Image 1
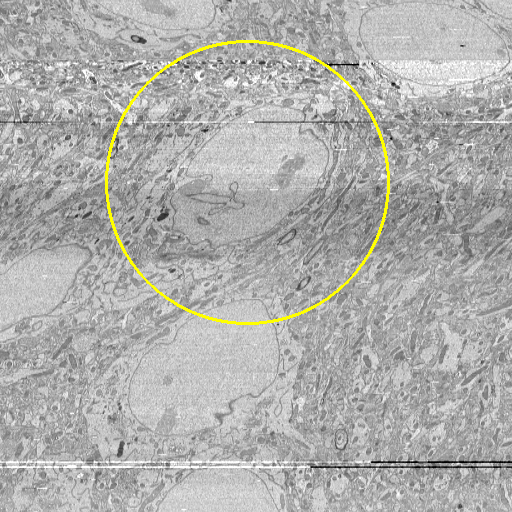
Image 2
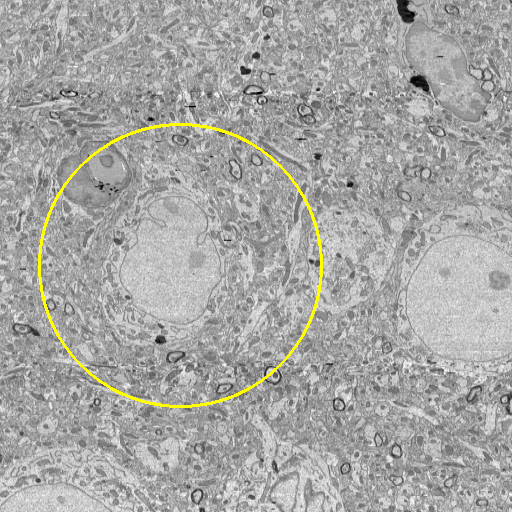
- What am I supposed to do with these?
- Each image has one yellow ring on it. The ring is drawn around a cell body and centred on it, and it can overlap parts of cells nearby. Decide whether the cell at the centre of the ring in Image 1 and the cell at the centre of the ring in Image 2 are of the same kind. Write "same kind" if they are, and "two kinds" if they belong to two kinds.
same kind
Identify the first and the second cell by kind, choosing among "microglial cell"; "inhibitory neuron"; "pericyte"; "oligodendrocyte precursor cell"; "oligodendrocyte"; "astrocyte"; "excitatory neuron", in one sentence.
Each cell, in the first picture and the second, is an inhibitory neuron.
